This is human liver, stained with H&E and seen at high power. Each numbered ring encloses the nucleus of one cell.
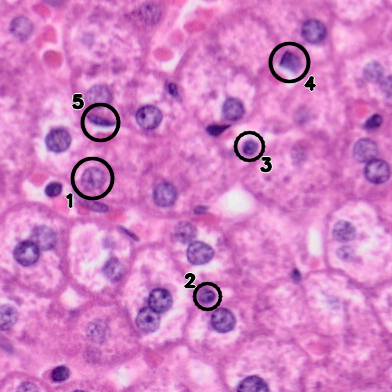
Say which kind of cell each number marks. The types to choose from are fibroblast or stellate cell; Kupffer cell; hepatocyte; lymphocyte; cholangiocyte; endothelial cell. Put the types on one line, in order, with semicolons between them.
hepatocyte; Kupffer cell; lymphocyte; endothelial cell; endothelial cell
